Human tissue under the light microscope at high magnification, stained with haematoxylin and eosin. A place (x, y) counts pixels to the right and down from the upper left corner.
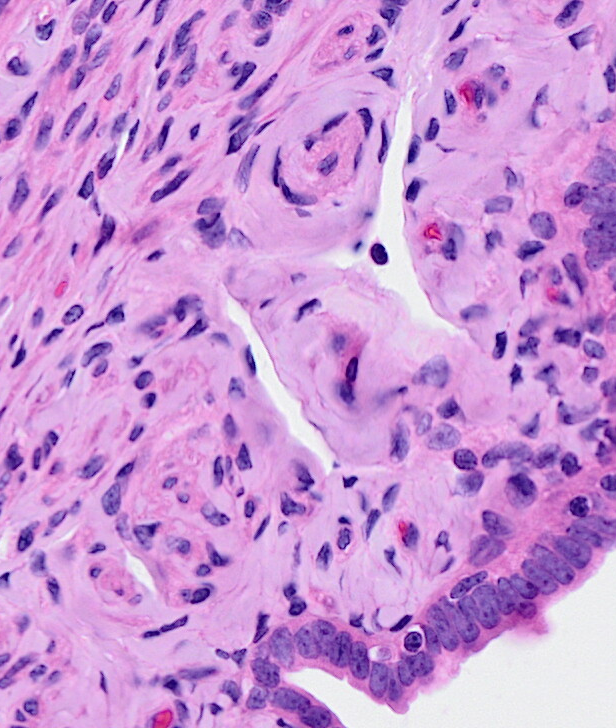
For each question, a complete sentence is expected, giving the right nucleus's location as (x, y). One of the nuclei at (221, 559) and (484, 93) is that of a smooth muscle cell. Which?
Of the two nuclei, the nucleus of a smooth muscle cell is at (221, 559).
